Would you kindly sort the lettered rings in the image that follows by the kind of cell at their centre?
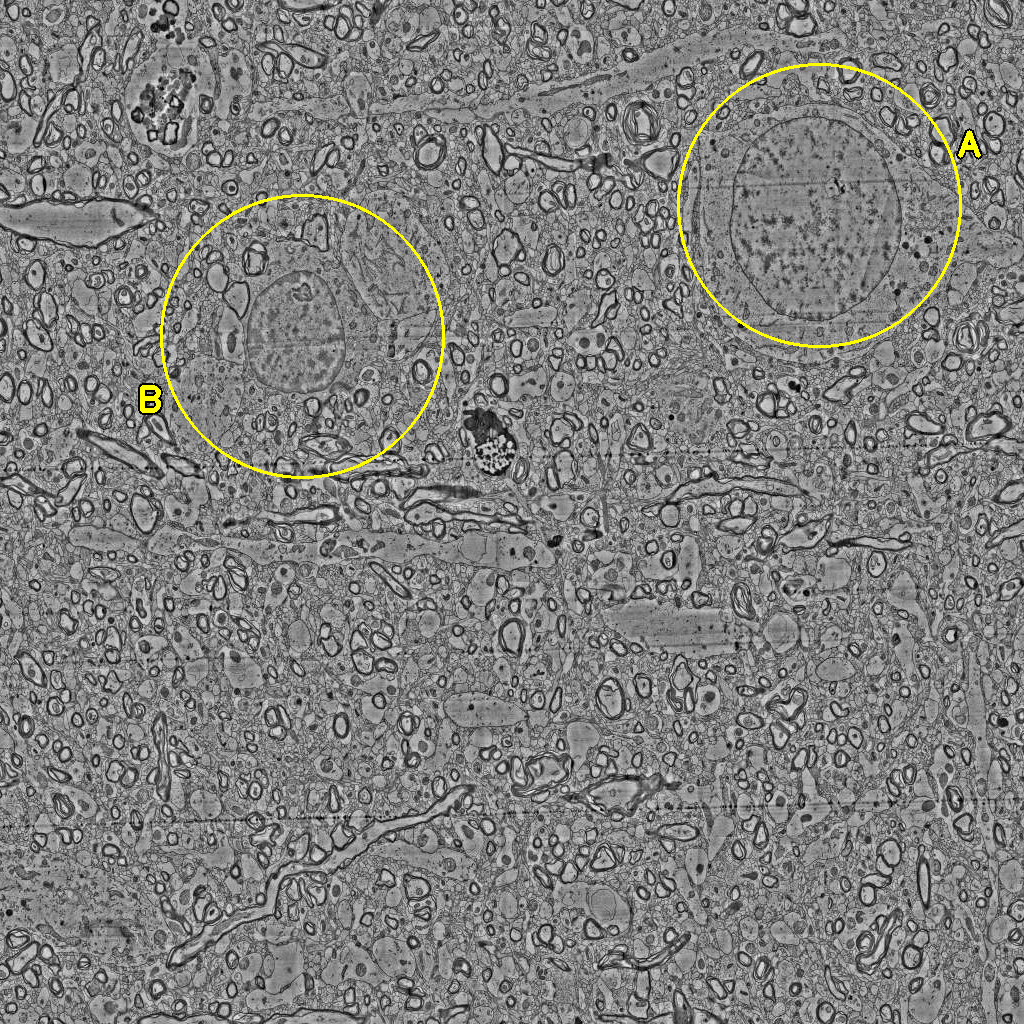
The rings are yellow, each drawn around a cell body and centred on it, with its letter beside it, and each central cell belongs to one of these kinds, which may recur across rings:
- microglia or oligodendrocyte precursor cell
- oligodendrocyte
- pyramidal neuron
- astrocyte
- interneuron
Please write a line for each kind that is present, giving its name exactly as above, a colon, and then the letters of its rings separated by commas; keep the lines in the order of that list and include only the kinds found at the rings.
oligodendrocyte: B
pyramidal neuron: A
